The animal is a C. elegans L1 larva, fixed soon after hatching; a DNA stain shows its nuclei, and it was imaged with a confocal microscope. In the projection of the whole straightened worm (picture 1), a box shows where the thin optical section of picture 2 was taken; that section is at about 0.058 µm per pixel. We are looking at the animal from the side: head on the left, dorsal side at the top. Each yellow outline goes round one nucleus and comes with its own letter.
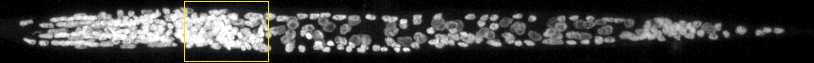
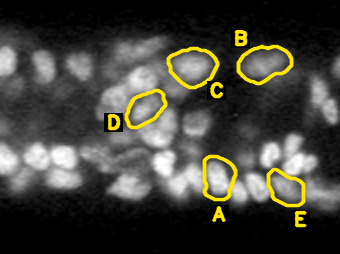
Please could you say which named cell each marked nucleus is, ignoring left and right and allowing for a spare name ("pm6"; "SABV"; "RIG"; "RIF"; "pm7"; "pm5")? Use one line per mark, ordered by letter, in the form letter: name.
A: RIF
B: pm7
C: pm6
D: pm5
E: RIG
